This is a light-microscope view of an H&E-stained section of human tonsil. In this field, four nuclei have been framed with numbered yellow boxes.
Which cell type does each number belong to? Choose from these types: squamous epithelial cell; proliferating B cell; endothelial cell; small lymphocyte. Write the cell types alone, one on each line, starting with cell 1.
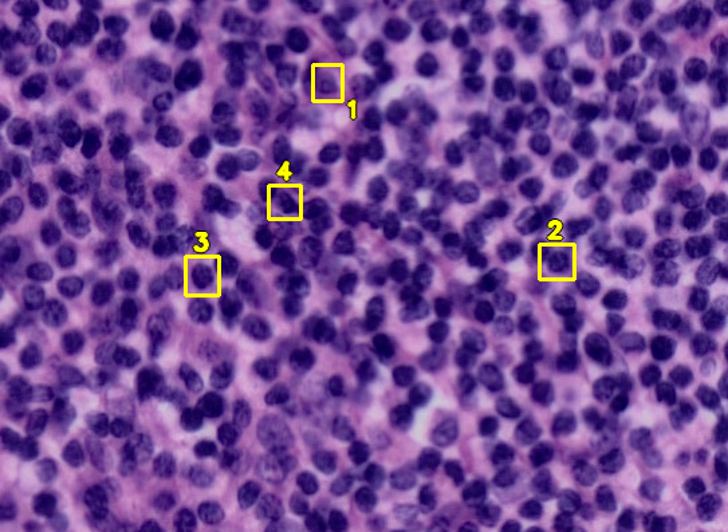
endothelial cell
small lymphocyte
small lymphocyte
small lymphocyte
